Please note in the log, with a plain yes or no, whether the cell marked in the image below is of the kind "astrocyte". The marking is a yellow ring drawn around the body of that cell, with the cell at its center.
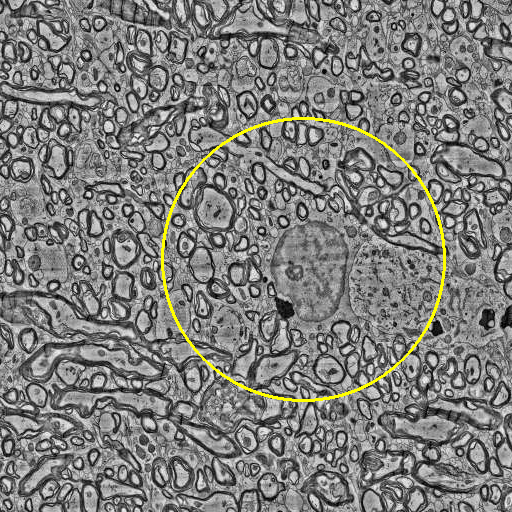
no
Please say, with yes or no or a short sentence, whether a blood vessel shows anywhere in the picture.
No, no vessel shows anywhere in the image.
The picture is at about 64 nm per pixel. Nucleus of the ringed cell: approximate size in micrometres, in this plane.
Roughly 6 by 5 micrometres in this plane, for the nucleus of the ringed cell.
